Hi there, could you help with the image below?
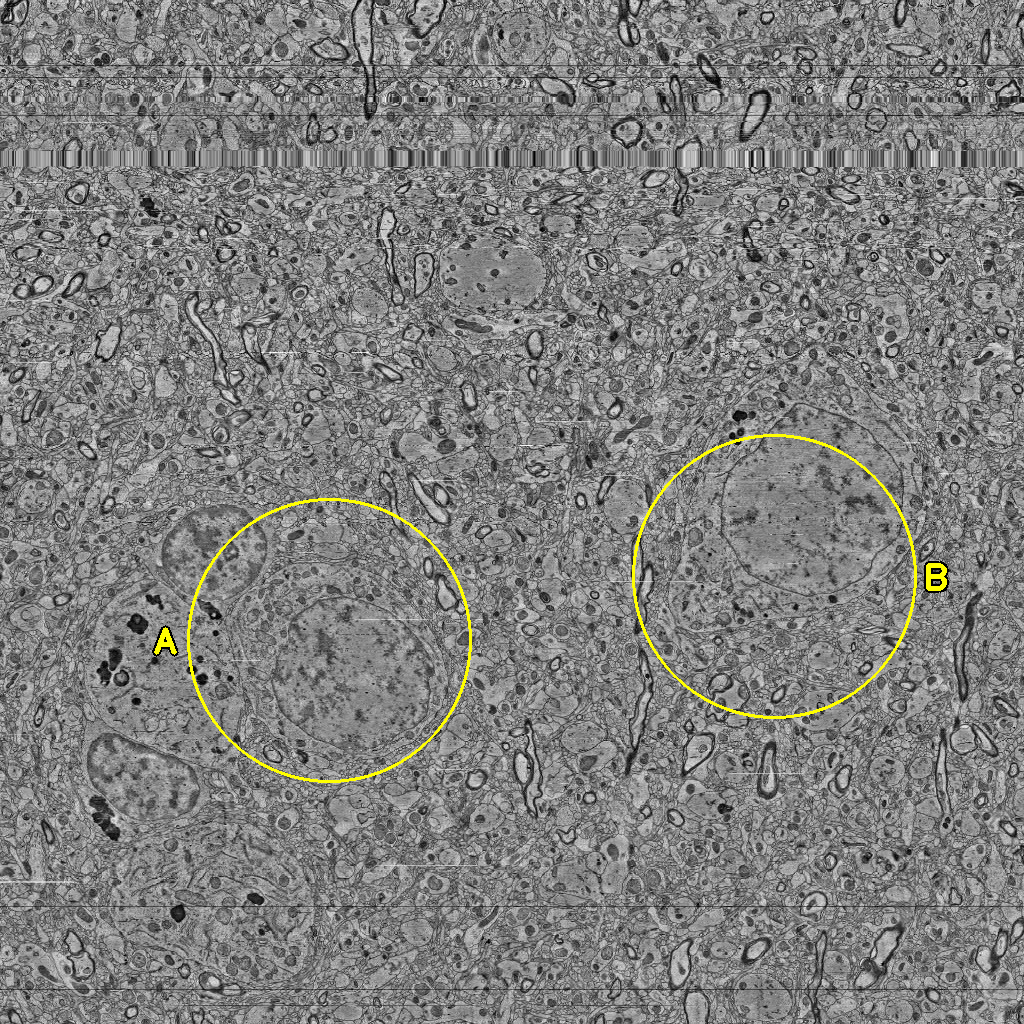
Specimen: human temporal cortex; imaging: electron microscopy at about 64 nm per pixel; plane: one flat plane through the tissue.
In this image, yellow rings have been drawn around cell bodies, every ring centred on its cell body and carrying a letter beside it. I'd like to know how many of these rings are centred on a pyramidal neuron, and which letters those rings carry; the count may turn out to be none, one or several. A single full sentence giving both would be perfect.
Letter B belongs to the one and only ring centred on a pyramidal neuron.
